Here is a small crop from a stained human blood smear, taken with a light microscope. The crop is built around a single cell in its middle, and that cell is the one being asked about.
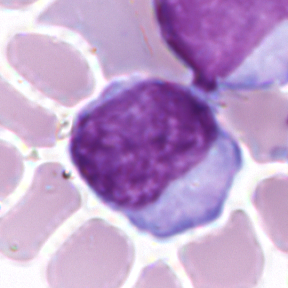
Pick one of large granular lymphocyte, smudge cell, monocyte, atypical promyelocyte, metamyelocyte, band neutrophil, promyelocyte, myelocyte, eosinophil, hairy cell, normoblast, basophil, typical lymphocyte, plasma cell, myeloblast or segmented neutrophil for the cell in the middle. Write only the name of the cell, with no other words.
plasma cell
